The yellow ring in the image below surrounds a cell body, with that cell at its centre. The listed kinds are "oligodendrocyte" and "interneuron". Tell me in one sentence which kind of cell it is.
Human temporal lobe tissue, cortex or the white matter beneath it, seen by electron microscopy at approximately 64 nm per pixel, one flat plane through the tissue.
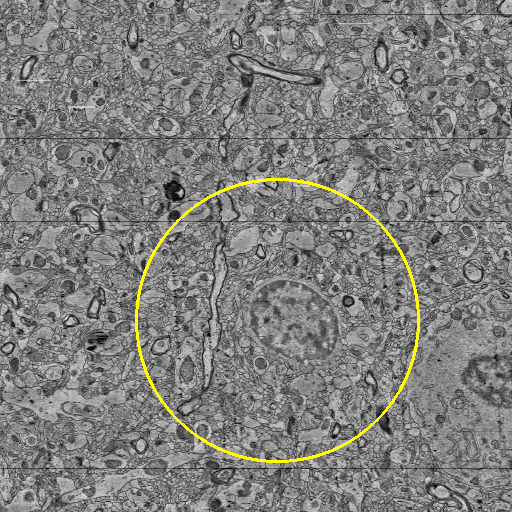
The centre of the ring holds an oligodendrocyte.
